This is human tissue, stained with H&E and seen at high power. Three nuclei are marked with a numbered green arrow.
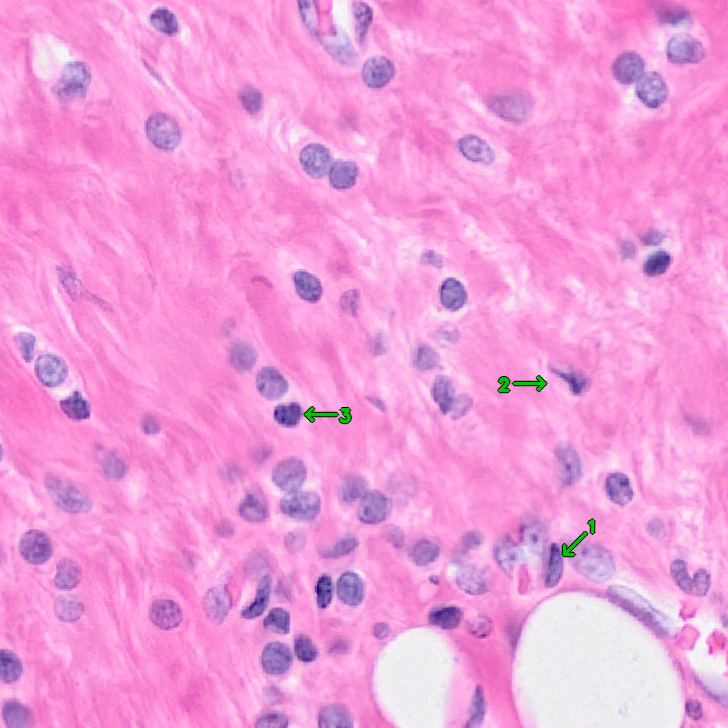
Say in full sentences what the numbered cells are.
Cell 1 is an endothelial cell. Cell 2 is a fibroblast. Cell 3 is a lymphocyte.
